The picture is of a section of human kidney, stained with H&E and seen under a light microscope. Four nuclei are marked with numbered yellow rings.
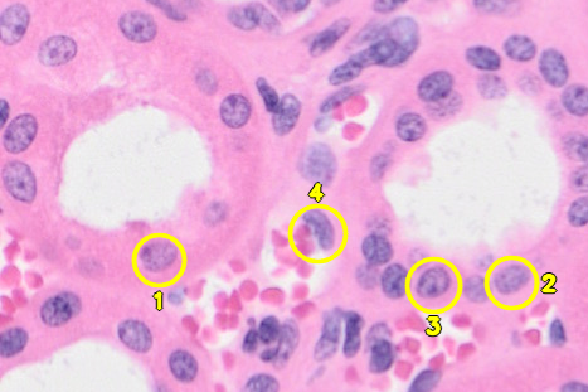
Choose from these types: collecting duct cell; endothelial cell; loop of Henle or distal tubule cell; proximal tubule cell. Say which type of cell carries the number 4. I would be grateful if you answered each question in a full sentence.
The numbered cell 4 in this field is an endothelial cell.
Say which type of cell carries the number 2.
The nucleus labeled 2 belongs to a collecting duct cell.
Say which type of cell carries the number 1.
Of the numbered cells, the one labelled 1 is a proximal tubule cell.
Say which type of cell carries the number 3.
The one labeled 3 is a collecting duct cell, to put it simply.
